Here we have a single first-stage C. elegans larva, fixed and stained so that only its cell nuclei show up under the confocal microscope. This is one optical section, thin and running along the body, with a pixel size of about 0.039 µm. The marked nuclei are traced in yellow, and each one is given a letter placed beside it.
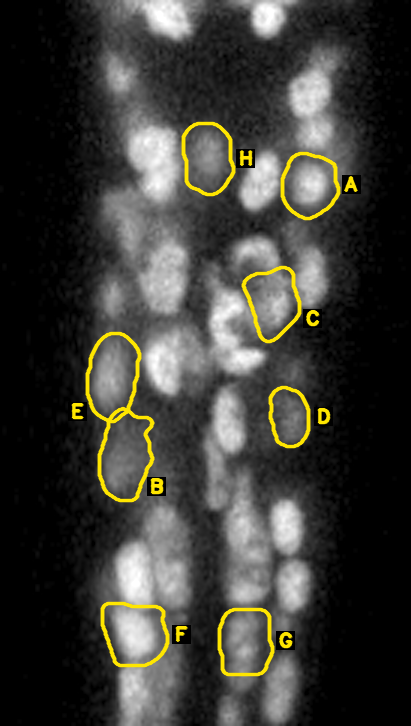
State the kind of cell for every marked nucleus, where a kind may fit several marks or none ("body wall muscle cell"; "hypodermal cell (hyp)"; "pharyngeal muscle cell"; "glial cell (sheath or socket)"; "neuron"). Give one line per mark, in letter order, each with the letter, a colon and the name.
A: neuron
B: body wall muscle cell
C: pharyngeal muscle cell
D: body wall muscle cell
E: hypodermal cell (hyp)
F: glial cell (sheath or socket)
G: pharyngeal muscle cell
H: neuron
